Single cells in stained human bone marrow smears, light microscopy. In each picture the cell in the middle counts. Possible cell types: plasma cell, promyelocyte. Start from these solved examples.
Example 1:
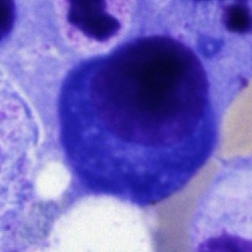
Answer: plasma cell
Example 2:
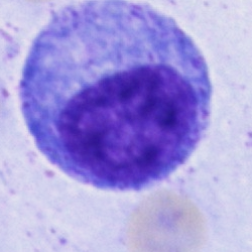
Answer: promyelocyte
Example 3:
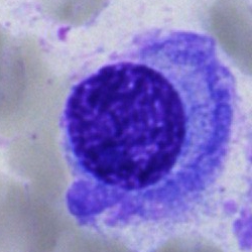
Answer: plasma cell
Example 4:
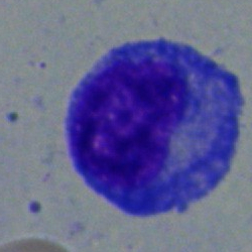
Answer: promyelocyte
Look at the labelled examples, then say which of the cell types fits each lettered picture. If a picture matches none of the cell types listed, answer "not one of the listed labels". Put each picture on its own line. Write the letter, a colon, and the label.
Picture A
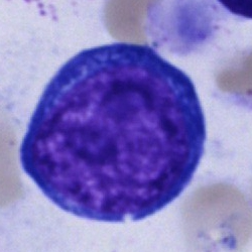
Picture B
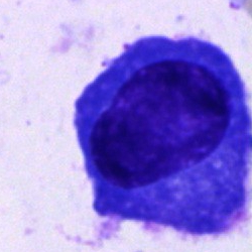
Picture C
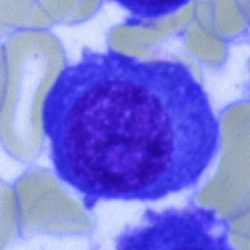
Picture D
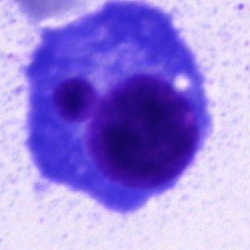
A: not one of the listed labels
B: plasma cell
C: plasma cell
D: plasma cell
